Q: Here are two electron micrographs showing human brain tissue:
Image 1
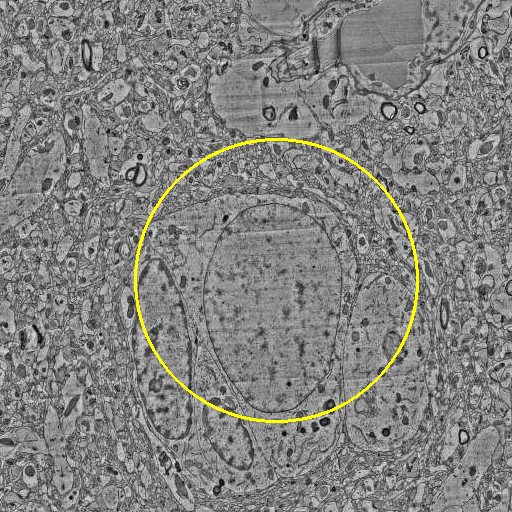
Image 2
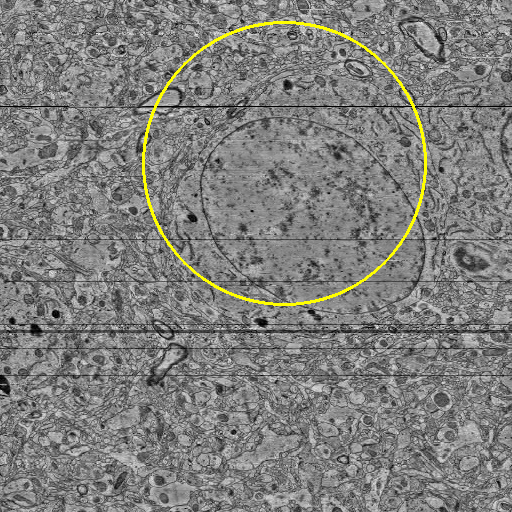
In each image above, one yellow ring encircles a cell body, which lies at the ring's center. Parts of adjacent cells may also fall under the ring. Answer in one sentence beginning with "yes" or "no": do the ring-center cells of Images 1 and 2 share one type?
Yes, in Images 1 and 2, the ring-center cells are both of one type.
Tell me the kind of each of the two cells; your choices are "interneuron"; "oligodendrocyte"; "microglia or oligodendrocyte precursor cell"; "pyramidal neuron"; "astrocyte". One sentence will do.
Each of the ringed cells, first and second, is a pyramidal neuron.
